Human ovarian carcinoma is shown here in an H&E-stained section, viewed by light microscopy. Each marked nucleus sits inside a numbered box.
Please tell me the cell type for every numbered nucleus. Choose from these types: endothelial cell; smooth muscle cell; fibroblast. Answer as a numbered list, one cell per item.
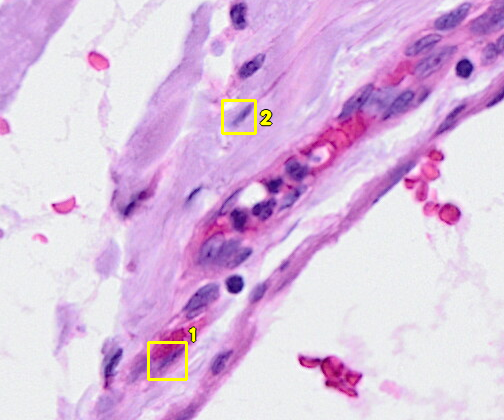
1. endothelial cell
2. fibroblast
